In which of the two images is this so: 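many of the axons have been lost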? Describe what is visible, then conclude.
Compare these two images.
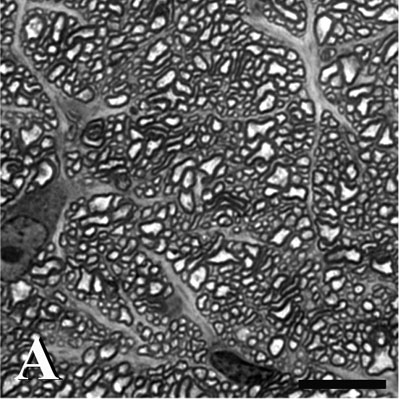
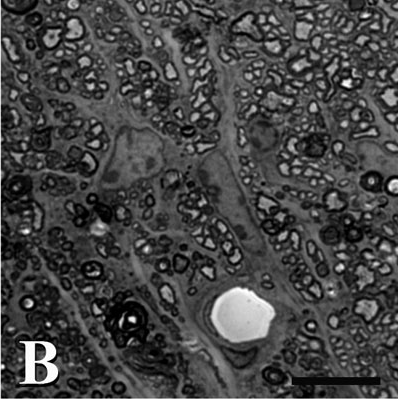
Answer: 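The second image. Second image: axon profiles are sparse, with wide grey areas and dark collapsed myelin rings. First image: small round myelinated axons are packed densely throughout the bundles.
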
